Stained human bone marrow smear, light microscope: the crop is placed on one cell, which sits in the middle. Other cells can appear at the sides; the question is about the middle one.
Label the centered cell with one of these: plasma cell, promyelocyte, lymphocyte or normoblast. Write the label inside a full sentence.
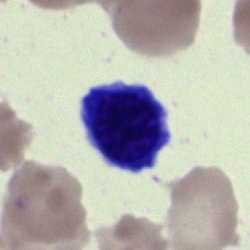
The cell in the middle of this crop is a lymphocyte.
